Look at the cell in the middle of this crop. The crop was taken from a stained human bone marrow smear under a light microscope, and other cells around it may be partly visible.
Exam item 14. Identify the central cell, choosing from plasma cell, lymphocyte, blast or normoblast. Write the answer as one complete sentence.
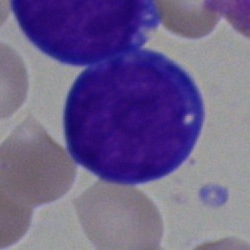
For this crop, the central cell is a blast.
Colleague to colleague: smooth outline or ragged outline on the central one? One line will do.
No projections interrupt the outline; it is smooth all the way round.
